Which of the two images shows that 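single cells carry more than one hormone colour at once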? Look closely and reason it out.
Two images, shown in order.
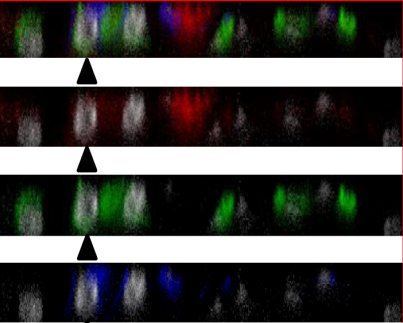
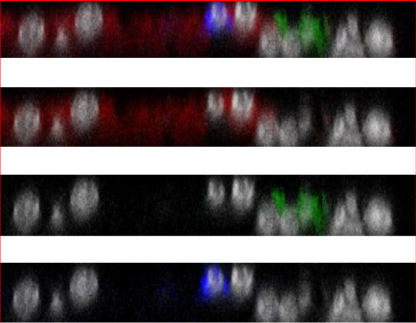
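The first image. First image: the marked cell shows green, blue and faint red over one nucleus. Second image: red, green and blue each lie over separate groups of nuclei.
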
